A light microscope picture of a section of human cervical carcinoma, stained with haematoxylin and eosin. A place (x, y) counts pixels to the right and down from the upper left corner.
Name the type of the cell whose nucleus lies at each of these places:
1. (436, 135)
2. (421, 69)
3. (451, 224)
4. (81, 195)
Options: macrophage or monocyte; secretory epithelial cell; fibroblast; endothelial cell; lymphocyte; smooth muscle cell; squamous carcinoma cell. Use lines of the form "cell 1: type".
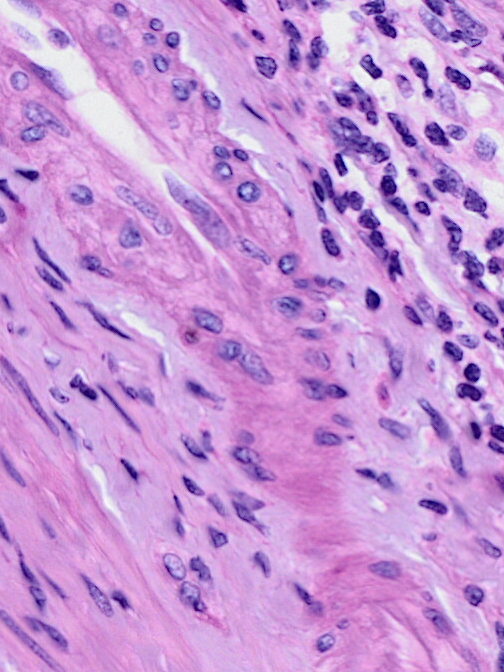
cell 1: lymphocyte
cell 2: lymphocyte
cell 3: lymphocyte
cell 4: smooth muscle cell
